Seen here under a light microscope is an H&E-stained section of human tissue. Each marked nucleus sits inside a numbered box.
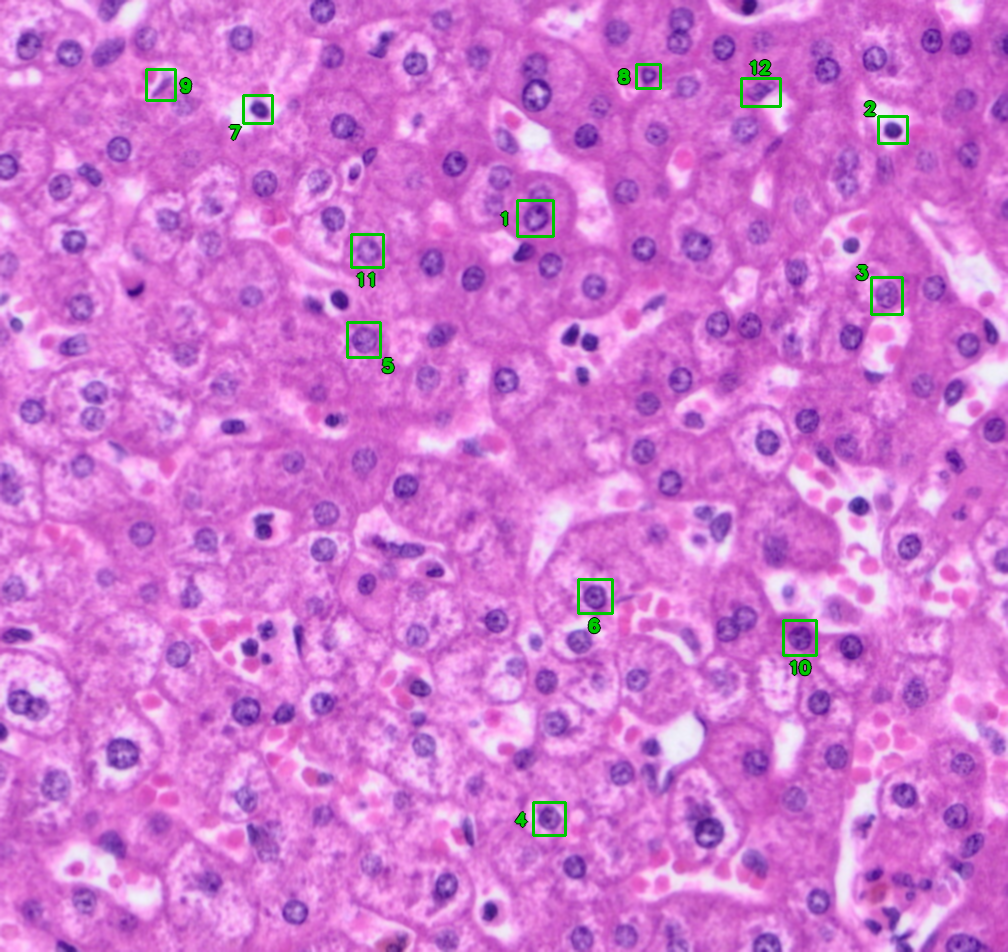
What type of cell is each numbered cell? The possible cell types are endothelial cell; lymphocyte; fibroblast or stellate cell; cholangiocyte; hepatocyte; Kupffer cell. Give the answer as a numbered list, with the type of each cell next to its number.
1. hepatocyte
2. lymphocyte
3. hepatocyte
4. hepatocyte
5. hepatocyte
6. hepatocyte
7. lymphocyte
8. fibroblast or stellate cell
9. endothelial cell
10. hepatocyte
11. hepatocyte
12. endothelial cell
